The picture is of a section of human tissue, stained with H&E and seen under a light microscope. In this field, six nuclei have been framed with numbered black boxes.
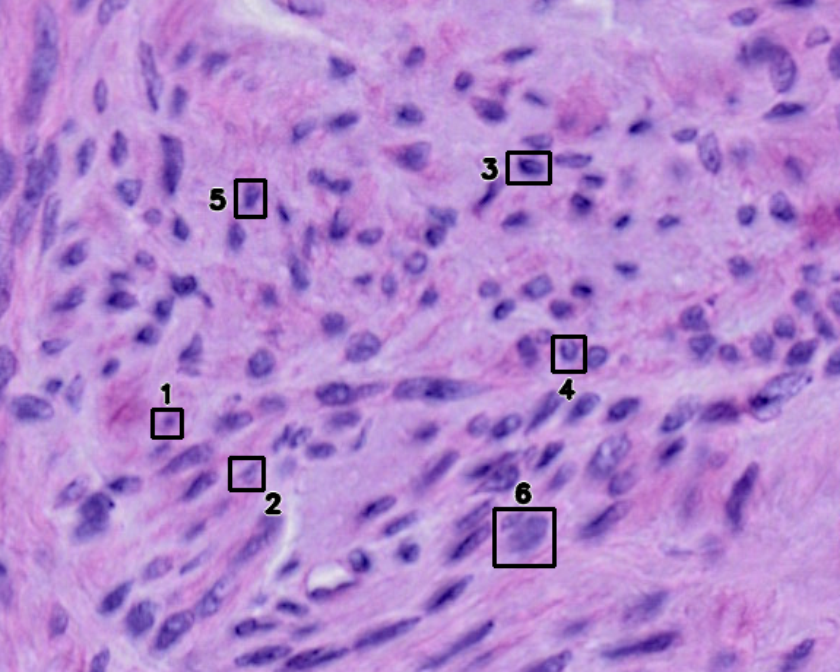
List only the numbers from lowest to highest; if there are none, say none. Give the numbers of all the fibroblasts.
3, 6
